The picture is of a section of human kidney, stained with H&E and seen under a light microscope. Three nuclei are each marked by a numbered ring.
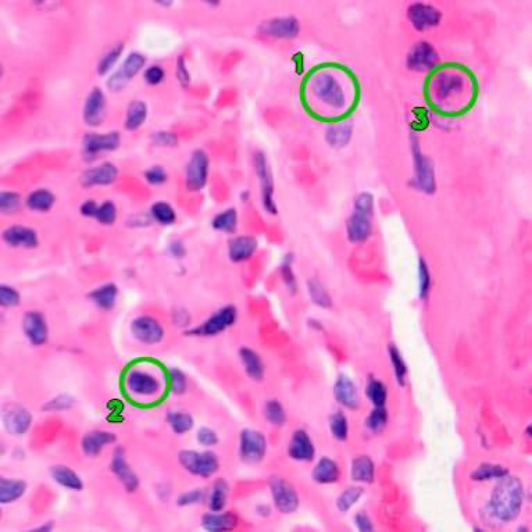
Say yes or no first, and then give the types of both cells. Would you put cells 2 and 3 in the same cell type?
No, cell 2 here is an endothelial cell, and cell 3 here is a proximal tubule cell.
